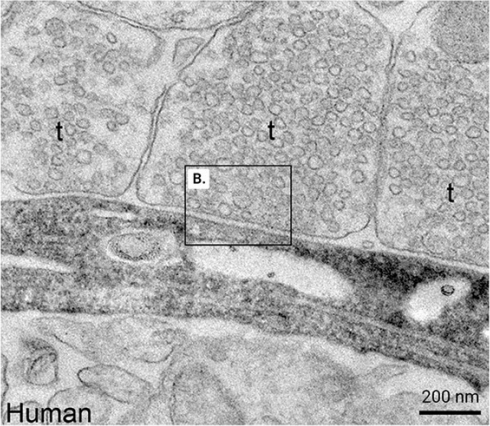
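The terminals rest on an elongated, electron-dense element that crosses the middle of the field. Its cytoplasm is dark and granular and holds a few pale, rounded profiles. Along the line of contact, the apposed membranes run parallel and are separated by a narrow cleft. Further pale neuropil profiles fill the lower part of the image.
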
